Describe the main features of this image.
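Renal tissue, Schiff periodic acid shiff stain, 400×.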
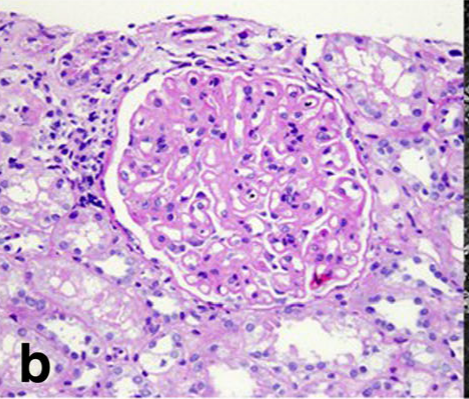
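A glomerulus stained pink and purple fills the centre, with tubules and some interstitial cells around it. The tuft looks busy with many dark nuclei crowded in the central stalks between the capillary loops, and the pink matrix there appears widened. The capillary walls stand out as pink outlines around open lumina, and the capsule with its clear space frames the tuft.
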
